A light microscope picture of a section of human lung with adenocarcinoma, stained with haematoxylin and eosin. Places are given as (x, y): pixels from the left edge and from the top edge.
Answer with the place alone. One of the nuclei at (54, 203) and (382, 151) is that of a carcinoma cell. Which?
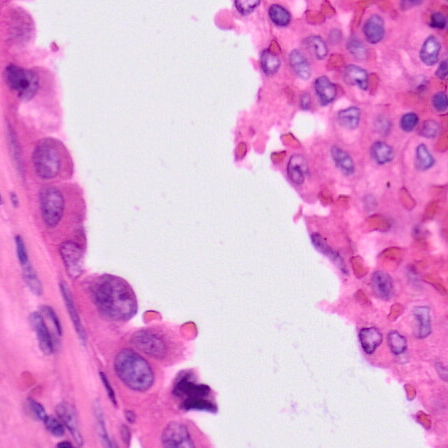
(54, 203)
